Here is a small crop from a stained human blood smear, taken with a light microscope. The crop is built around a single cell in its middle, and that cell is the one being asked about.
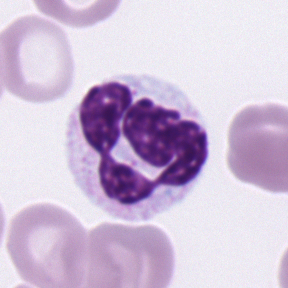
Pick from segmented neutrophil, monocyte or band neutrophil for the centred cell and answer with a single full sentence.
In the center of this field lies a segmented neutrophil.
